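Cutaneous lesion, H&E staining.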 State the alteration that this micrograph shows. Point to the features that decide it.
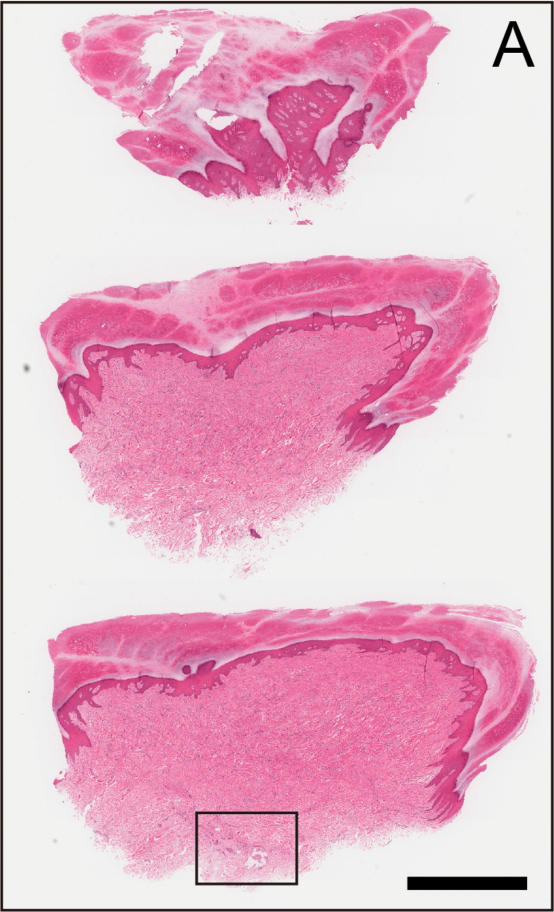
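Acanthosis and hyperkeratosis. The surface epidermis forms a thick dark-pink band over each section. A pale, layered keratin layer lies on top of the epidermis. The epidermis sends irregular projections down into the dermis.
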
